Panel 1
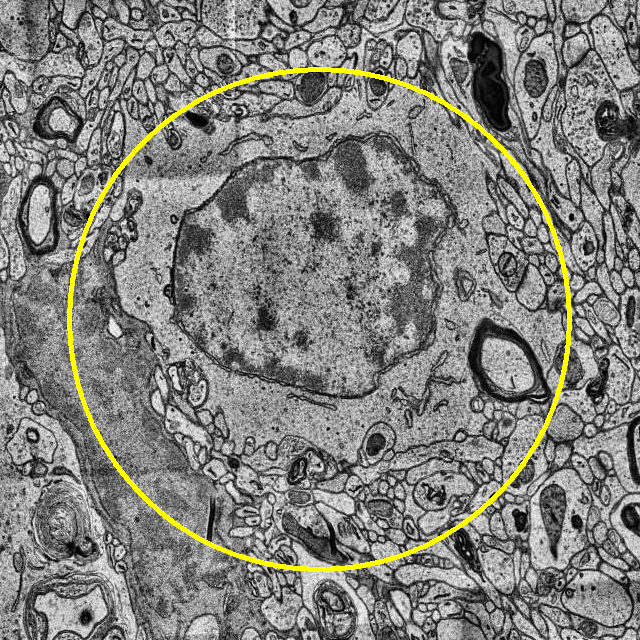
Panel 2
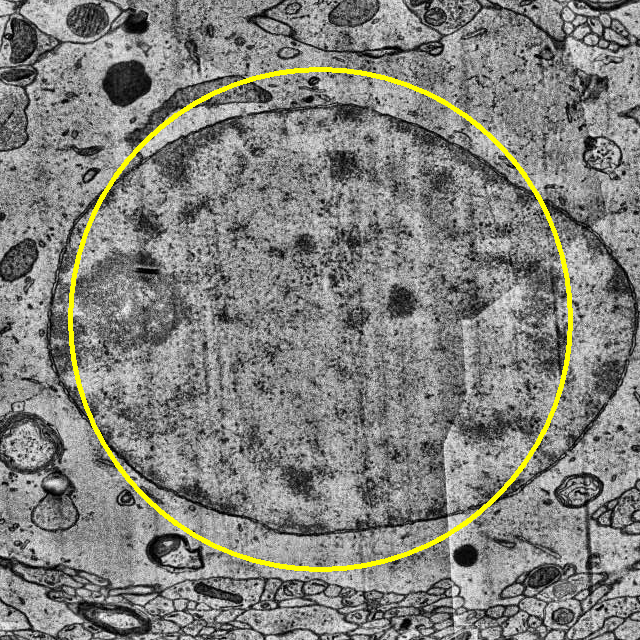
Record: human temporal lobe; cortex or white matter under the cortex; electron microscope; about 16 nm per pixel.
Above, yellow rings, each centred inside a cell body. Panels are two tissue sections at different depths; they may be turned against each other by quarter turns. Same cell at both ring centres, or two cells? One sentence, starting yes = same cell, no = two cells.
No, two different cells are marked by the two rings.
